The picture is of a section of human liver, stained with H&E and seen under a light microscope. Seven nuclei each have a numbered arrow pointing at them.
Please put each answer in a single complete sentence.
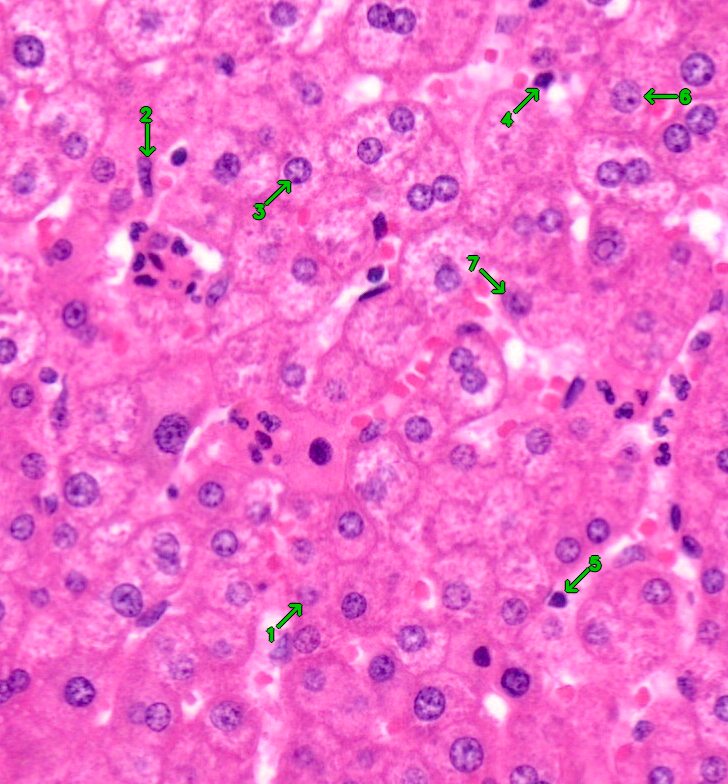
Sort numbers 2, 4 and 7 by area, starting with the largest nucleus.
Going from the biggest nucleus down to the smallest gives 7, 2, 4.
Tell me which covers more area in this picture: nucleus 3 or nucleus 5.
At about 2 times the area of nucleus 5, nucleus 3 is the larger of the two.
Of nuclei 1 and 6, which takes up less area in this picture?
Nucleus 1 is the smaller one; nucleus 6 covers about 2.5 times its area.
